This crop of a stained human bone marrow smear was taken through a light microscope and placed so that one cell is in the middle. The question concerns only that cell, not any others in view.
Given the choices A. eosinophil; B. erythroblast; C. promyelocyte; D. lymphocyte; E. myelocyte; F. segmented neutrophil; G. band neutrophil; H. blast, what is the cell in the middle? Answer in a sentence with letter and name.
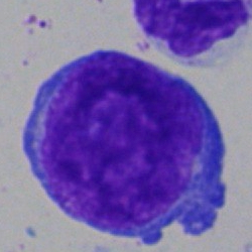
The correct option, H, names the middle cell as a blast.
